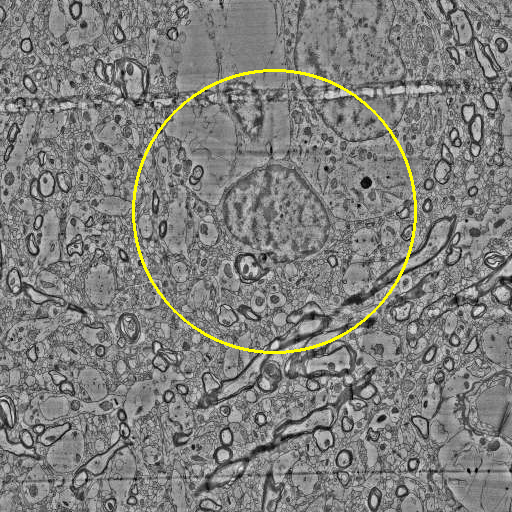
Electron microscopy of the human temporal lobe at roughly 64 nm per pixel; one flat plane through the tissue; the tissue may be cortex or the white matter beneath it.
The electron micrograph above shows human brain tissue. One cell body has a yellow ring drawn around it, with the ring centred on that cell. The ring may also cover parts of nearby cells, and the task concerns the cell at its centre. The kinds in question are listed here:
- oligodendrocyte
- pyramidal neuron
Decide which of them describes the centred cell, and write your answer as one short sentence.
The centred cell is an oligodendrocyte.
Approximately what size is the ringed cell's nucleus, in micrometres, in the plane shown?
About 7 micrometers across, in this plane.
